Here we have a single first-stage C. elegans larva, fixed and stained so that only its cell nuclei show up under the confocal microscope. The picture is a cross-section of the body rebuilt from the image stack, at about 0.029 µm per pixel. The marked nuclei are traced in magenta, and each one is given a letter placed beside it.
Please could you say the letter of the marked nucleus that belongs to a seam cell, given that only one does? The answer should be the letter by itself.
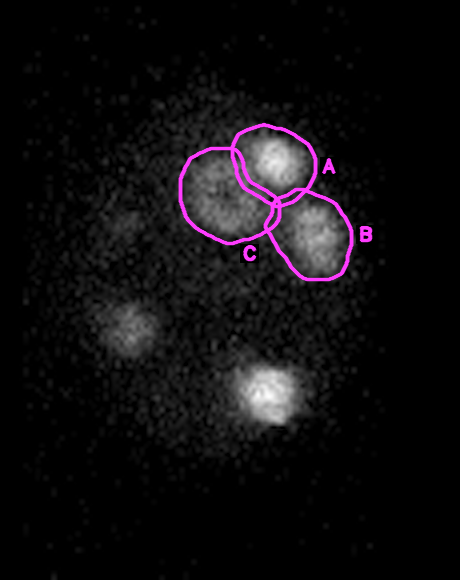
B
